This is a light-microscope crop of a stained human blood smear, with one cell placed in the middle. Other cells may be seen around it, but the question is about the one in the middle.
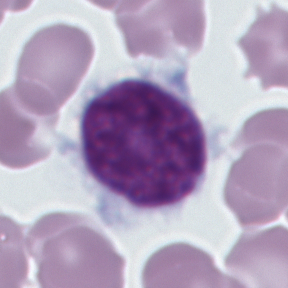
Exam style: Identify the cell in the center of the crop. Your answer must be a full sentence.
For this crop, the central cell is a hairy cell.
